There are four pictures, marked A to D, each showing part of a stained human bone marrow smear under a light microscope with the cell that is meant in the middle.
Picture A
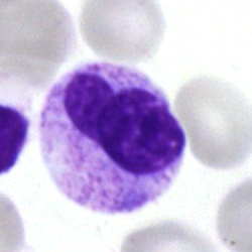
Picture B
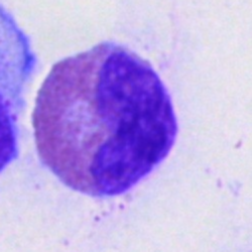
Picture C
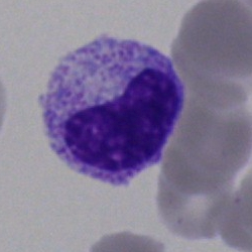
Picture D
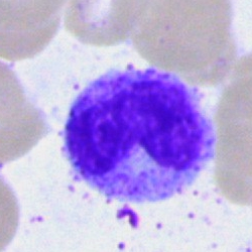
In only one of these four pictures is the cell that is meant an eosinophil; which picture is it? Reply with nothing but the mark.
B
